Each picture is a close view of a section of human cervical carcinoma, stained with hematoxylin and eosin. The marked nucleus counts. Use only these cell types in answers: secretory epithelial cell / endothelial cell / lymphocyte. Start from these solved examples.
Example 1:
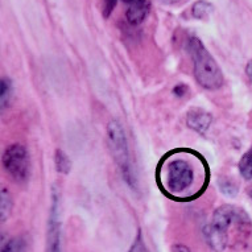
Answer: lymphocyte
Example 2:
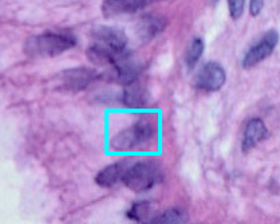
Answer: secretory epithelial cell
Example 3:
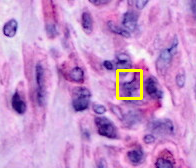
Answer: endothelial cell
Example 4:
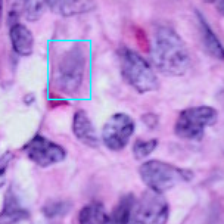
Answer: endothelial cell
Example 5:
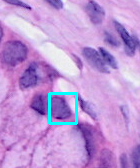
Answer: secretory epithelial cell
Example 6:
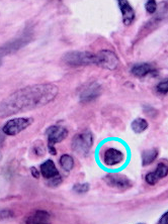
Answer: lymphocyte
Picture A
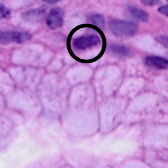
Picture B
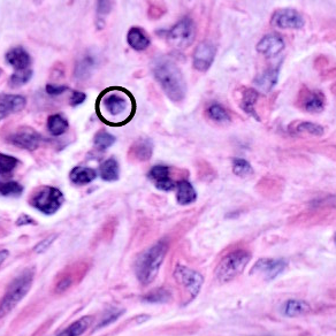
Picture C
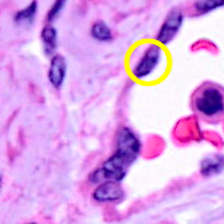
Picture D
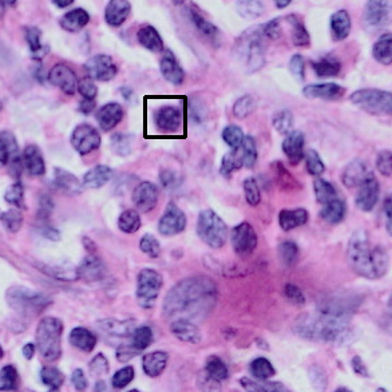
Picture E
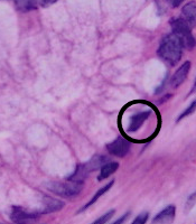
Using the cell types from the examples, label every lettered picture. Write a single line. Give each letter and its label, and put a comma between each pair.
A secretory epithelial cell, B lymphocyte, C endothelial cell, D lymphocyte, E secretory epithelial cell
